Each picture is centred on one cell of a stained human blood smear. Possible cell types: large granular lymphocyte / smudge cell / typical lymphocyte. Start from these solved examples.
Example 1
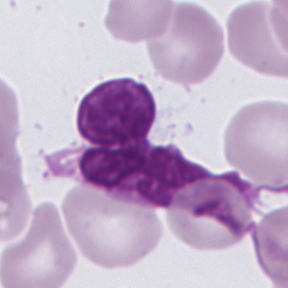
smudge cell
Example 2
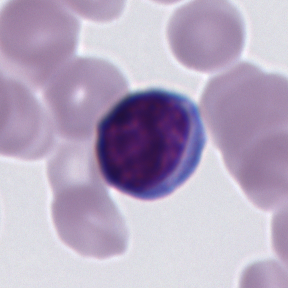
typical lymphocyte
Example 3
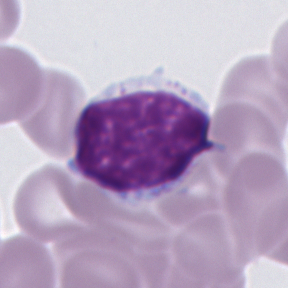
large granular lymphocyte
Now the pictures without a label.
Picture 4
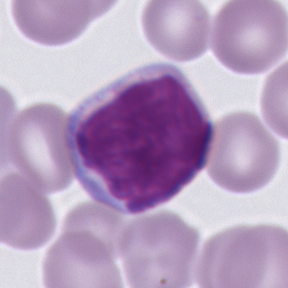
large granular lymphocyte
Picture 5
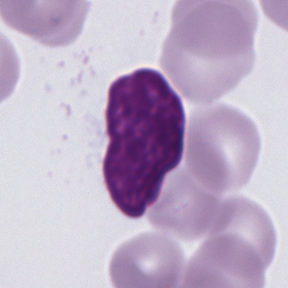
smudge cell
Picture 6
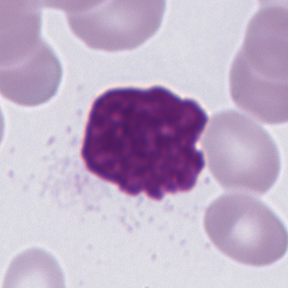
smudge cell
